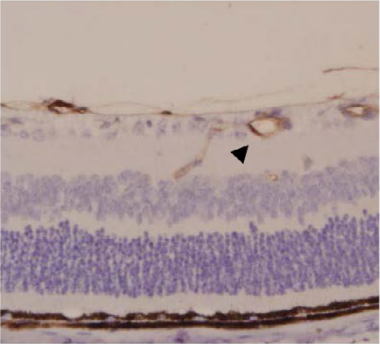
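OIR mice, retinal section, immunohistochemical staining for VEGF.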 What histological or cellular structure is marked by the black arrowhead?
Blood vessels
